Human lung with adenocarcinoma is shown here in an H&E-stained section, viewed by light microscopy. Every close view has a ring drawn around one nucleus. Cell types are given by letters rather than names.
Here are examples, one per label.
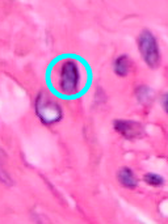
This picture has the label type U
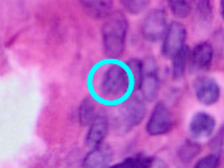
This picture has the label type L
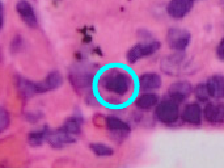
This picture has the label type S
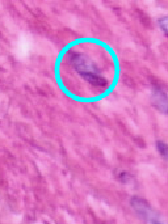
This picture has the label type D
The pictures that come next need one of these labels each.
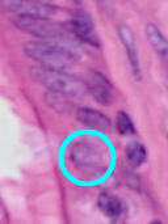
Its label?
type L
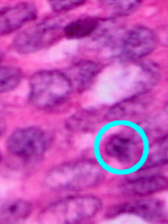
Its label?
type L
